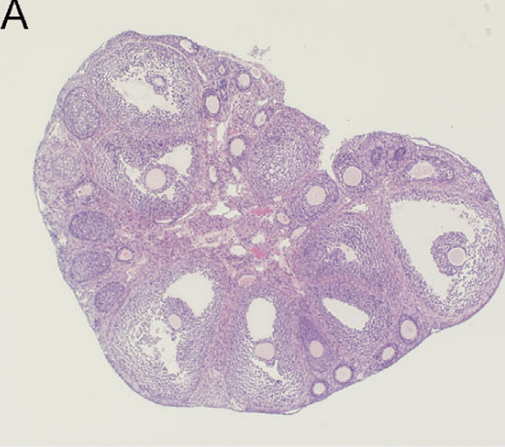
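This is a section of ovary filled with follicles at many sizes, stained pink and purple. Small follicles with a single pale round oocyte ringed by a few layers of purple granulosa cells sit near the surface, while many larger follicles have several layers of granulosa cells and a wide clear fluid-filled cavity, with the oocyte held on a mound of cells at one side. Pinkish stroma with small vessels and some red blood lies between the follicles toward the centre.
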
